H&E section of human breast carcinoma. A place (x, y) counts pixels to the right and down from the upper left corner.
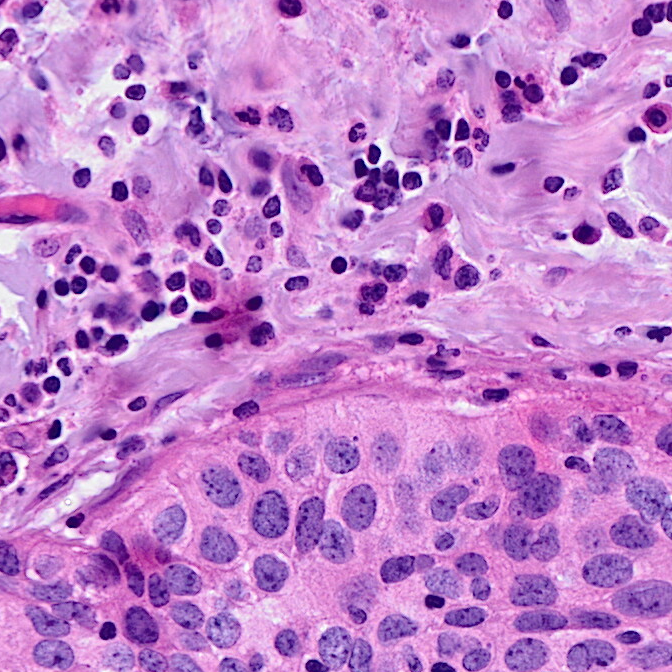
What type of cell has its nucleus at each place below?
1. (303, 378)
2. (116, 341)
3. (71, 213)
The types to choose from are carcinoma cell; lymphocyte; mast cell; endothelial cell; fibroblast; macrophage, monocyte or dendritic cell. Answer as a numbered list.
1. endothelial cell
2. lymphocyte
3. endothelial cell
